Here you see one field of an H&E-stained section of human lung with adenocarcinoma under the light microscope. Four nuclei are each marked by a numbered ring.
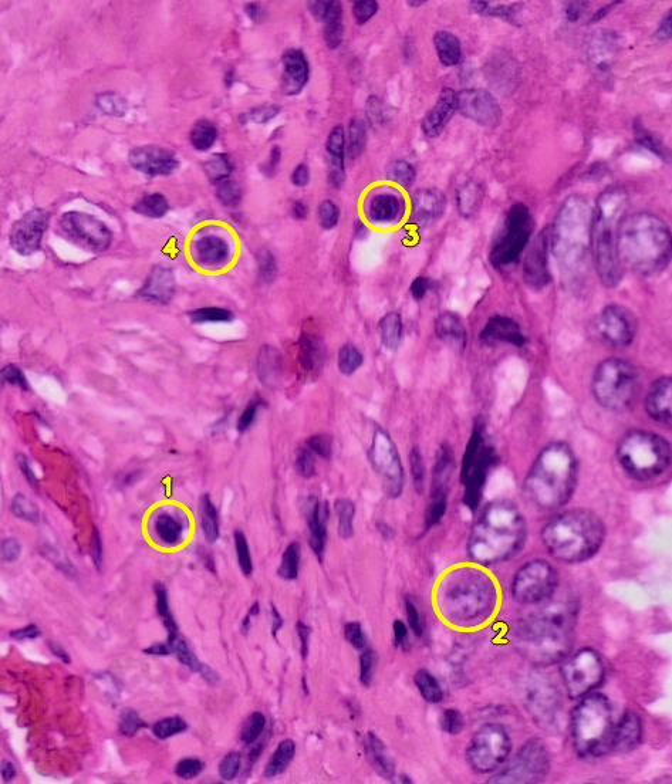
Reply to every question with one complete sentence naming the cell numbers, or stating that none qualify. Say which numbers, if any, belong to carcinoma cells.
Only number 2 of the marked cells is a carcinoma cell.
